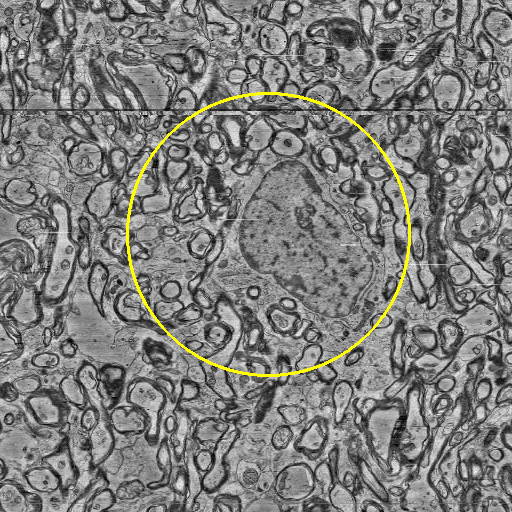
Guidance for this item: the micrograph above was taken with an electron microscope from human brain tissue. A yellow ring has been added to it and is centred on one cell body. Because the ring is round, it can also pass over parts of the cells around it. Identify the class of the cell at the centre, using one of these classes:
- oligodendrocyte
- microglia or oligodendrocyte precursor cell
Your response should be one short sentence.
The ring surrounds the body of a microglial cell or oligodendrocyte precursor cell.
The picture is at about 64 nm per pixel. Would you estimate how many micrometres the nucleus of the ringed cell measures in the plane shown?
About 11 micrometres by about 8 micrometres in this plane.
